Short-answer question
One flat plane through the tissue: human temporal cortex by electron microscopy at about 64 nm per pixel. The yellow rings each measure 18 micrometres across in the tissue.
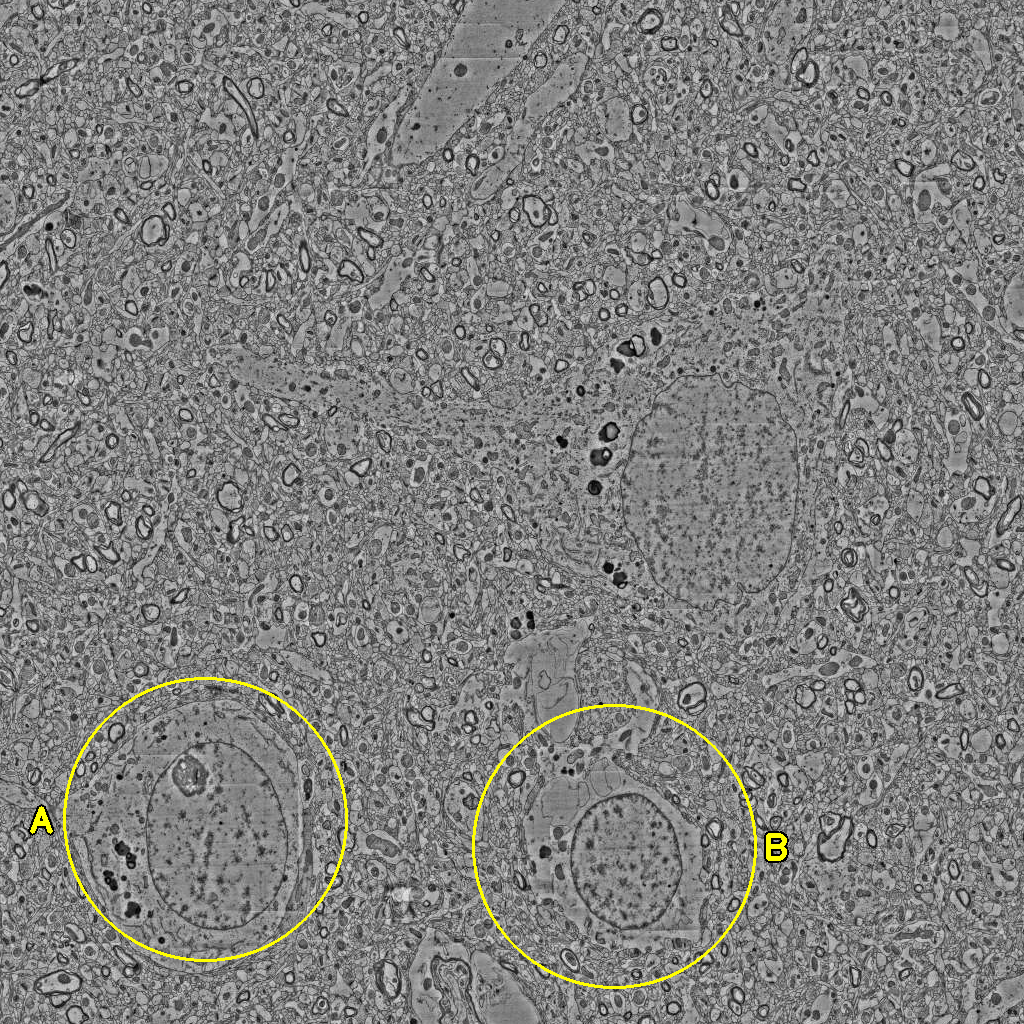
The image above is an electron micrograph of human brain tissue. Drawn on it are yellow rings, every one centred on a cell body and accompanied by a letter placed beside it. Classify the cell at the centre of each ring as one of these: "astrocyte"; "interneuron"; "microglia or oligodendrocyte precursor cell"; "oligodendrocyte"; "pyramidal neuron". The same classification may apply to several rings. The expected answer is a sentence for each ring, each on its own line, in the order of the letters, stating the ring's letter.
The cell at ring A is classified as a pyramidal neuron.
The cell at ring B is classified as an astrocyte.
